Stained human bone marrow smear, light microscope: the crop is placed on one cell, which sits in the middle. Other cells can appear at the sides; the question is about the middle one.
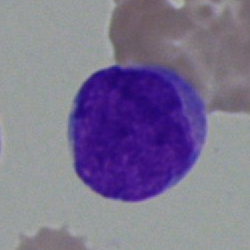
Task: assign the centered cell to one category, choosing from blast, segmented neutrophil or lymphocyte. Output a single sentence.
Where the crop is centred, there is a blast.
